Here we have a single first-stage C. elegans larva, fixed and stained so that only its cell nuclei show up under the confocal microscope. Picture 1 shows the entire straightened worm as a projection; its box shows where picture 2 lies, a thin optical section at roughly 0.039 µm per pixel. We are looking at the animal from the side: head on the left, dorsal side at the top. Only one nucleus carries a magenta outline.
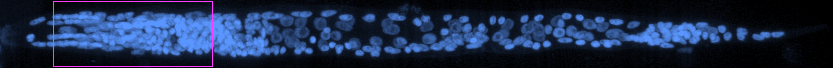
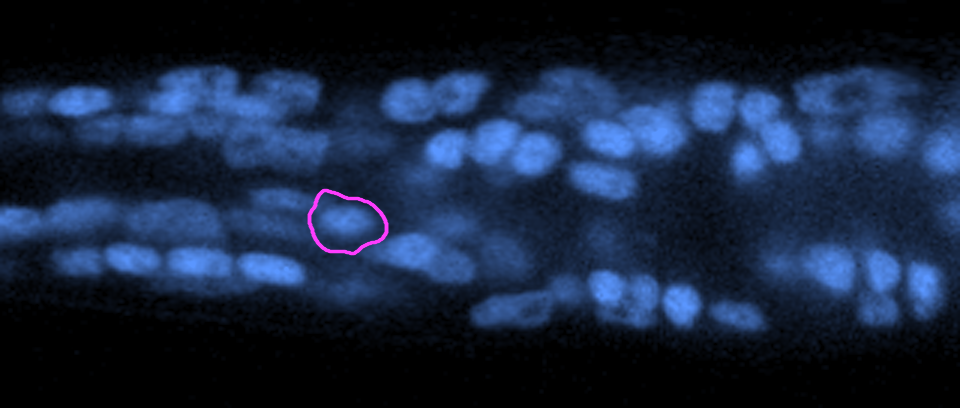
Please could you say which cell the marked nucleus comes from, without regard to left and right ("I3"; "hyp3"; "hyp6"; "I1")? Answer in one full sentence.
The marked nucleus is that of I1, a neuron.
